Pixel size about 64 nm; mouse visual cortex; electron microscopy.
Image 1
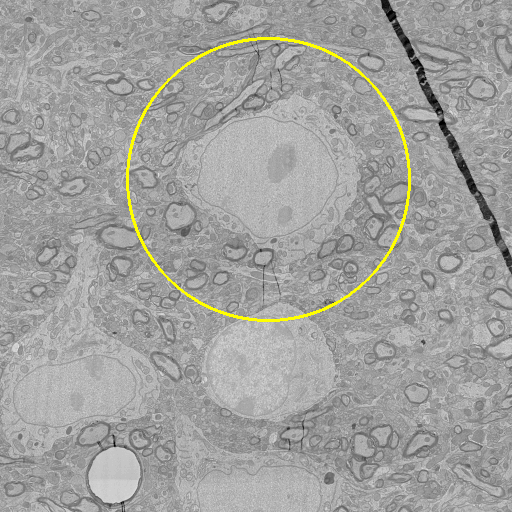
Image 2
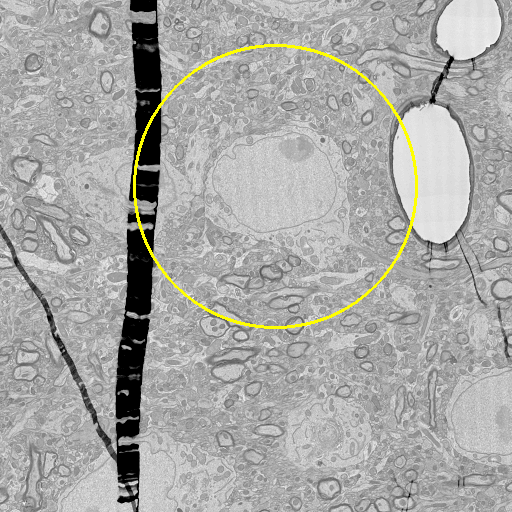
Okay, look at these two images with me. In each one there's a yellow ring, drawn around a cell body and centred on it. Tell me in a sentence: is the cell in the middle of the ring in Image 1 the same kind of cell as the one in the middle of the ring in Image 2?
Yes, they're the same kind of cell.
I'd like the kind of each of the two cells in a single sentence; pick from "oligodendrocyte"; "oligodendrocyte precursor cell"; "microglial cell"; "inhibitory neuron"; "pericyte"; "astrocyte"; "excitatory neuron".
Both the first and the second picture show an excitatory neuron in the ring.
